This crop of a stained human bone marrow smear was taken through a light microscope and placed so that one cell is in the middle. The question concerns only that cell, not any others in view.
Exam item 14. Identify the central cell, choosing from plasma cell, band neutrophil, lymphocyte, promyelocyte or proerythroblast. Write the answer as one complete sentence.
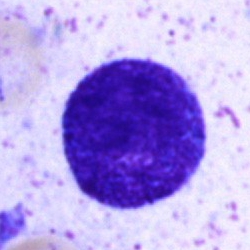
In the center of this field lies a promyelocyte.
